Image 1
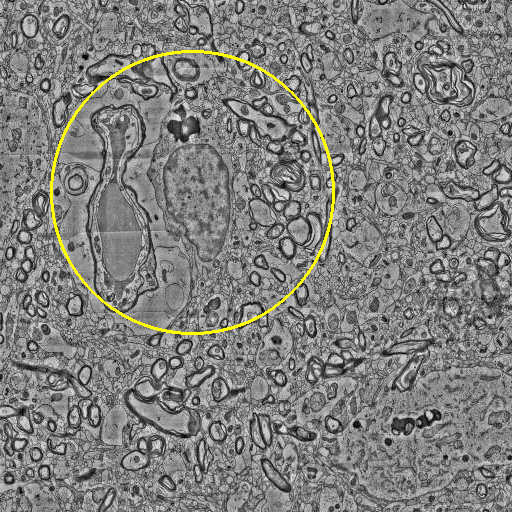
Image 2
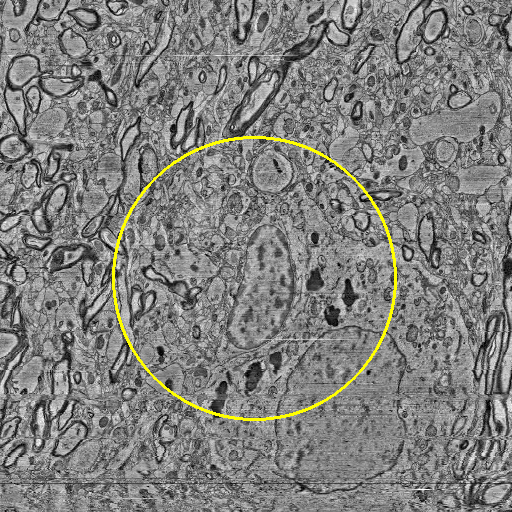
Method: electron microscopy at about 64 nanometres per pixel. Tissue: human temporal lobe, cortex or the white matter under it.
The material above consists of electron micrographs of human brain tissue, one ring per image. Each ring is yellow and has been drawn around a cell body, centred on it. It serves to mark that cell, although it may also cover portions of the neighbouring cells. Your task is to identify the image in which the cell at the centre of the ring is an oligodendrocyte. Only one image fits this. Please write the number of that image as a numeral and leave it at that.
1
